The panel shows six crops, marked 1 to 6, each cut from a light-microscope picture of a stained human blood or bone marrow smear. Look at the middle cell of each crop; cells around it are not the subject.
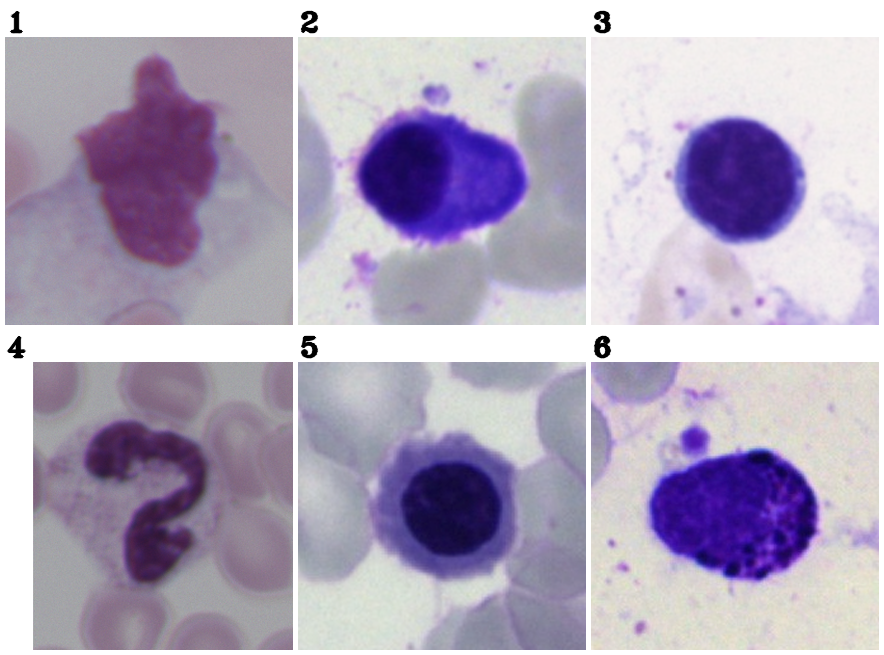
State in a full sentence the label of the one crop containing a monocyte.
In this series, a monocyte is shown by crop 1.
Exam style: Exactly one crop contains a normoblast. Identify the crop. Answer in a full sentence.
As for which crop shows a normoblast, it is crop 5.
